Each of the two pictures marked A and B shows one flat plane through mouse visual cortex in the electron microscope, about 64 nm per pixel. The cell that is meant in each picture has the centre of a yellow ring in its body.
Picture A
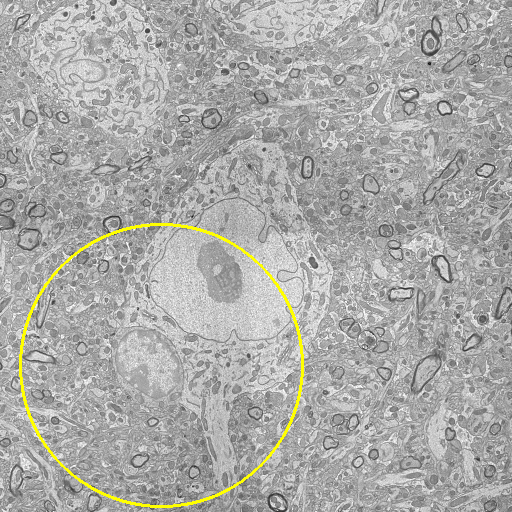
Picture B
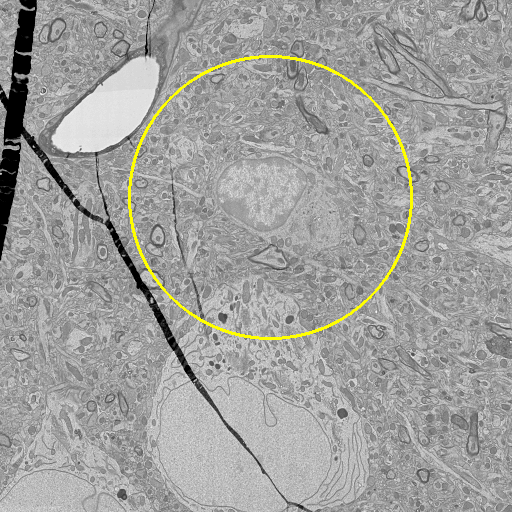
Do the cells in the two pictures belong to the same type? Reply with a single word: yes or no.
yes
